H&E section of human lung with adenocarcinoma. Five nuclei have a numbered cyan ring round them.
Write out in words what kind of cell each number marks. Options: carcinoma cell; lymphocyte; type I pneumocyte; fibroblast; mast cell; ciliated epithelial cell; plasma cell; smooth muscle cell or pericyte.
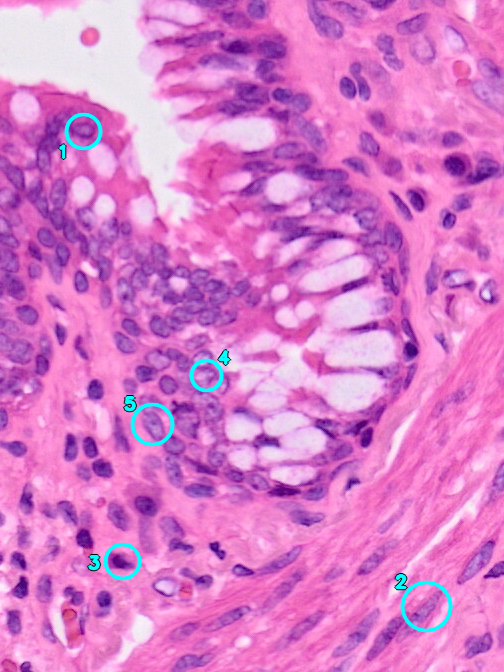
Cells 1, 4 and 5 are ciliated epithelial cells. Cell 2 is a smooth muscle cell or pericyte. Cell 3 is a plasma cell.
